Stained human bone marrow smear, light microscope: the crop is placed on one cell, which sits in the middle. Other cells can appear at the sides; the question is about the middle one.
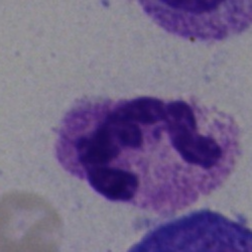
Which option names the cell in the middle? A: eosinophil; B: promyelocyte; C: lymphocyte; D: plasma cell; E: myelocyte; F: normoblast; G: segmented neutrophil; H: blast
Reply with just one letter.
G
